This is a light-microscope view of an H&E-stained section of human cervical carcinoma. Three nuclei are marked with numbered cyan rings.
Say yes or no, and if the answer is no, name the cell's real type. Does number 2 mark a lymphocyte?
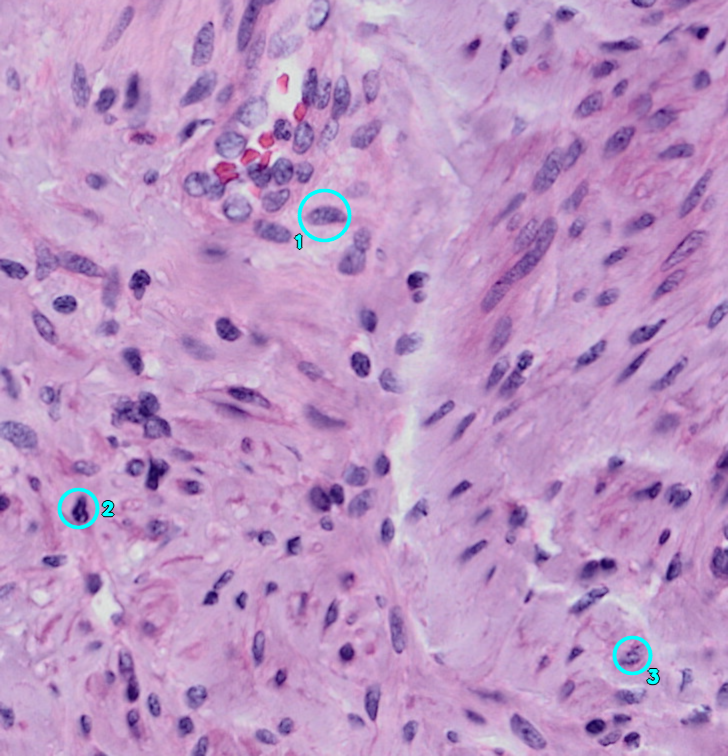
Yes.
